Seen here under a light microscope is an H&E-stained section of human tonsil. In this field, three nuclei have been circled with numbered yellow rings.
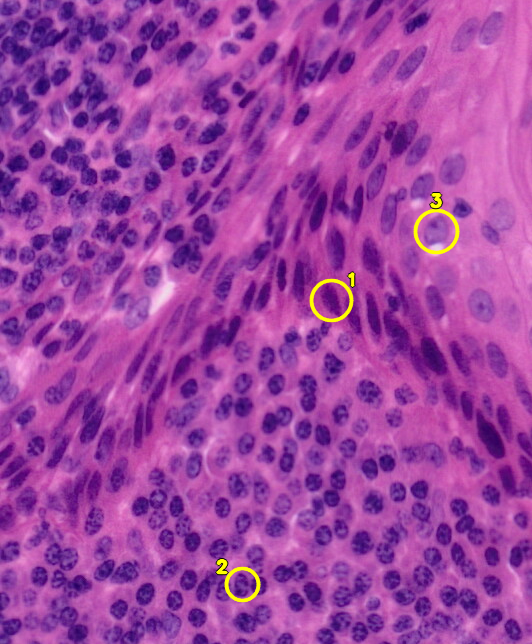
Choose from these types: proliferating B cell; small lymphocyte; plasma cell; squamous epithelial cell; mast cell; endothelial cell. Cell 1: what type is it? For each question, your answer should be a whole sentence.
The correct answer for cell 1 is a squamous epithelial cell.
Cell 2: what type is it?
The expected answer is that cell 2 is a plasma cell.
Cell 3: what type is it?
The cell numbered 3 has been identified as a squamous epithelial cell.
